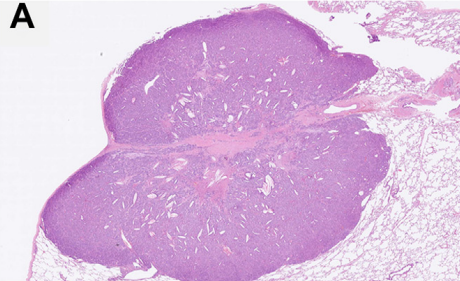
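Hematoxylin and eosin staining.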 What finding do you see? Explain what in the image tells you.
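A solid, densely cellular lobulated mass. Sharp border against the surrounding spongy lung tissue. That points to this answer: clearly demarcated.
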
